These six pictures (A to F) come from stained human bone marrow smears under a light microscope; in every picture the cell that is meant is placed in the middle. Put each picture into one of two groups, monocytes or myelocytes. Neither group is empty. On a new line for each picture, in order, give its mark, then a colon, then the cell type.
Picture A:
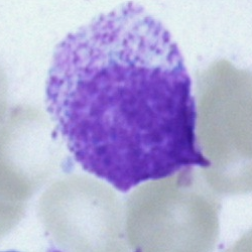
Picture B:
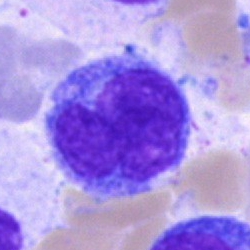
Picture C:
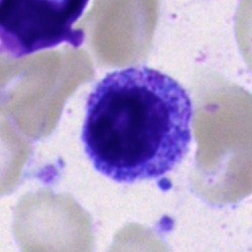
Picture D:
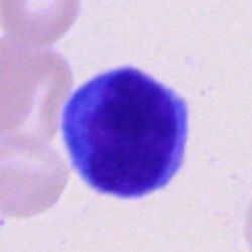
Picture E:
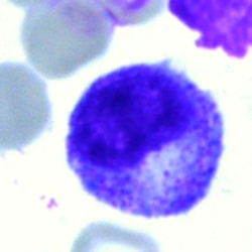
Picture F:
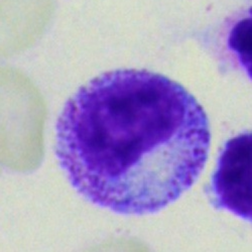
A: myelocyte
B: monocyte
C: myelocyte
D: monocyte
E: myelocyte
F: myelocyte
